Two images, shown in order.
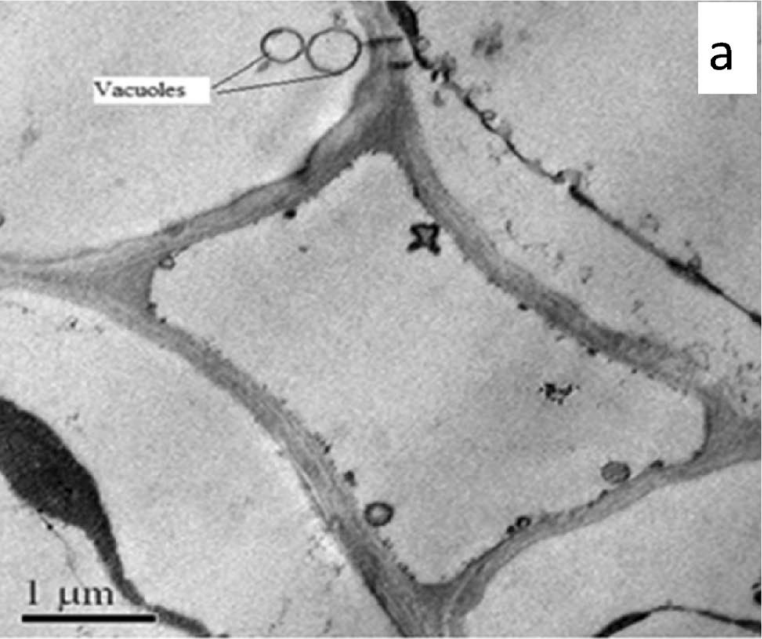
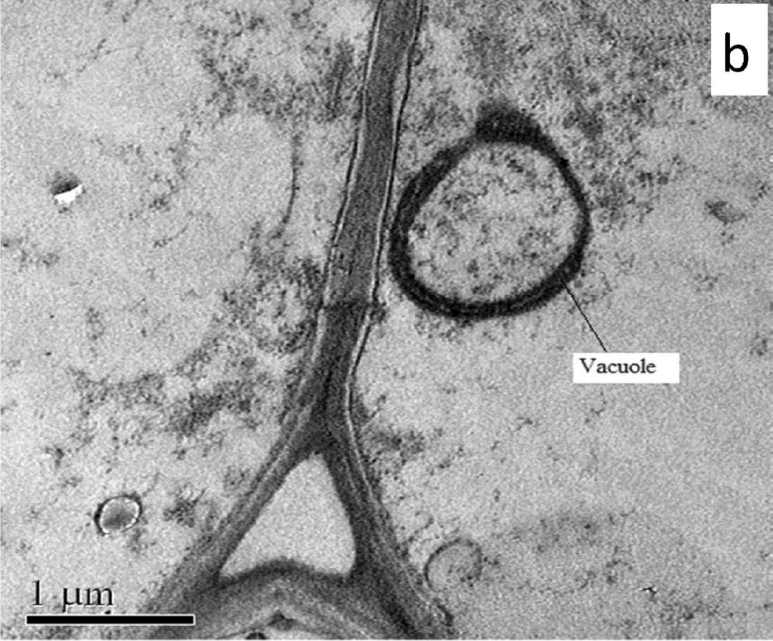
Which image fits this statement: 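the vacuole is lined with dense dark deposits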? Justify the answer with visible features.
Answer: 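Second image: the round vacuole has a thick, very dark rim and speckled dark material inside.
The second image.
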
